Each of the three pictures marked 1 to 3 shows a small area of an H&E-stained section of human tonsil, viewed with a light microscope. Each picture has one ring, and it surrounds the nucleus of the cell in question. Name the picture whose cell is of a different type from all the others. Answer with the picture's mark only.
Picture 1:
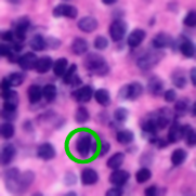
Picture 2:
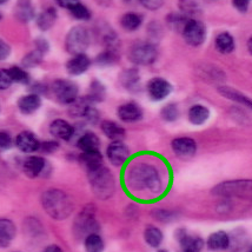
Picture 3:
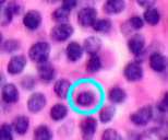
2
